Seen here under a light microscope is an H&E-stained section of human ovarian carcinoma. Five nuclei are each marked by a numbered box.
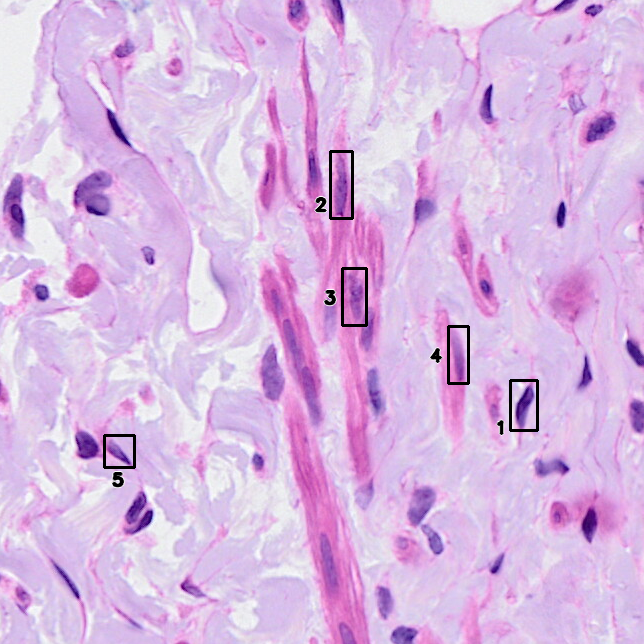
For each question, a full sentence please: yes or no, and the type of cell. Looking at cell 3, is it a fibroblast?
No, the cell that carries number 3 is a smooth muscle cell, not a fibroblast.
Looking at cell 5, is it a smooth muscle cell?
No, the cell with the number 5 is a fibroblast, not a smooth muscle cell.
